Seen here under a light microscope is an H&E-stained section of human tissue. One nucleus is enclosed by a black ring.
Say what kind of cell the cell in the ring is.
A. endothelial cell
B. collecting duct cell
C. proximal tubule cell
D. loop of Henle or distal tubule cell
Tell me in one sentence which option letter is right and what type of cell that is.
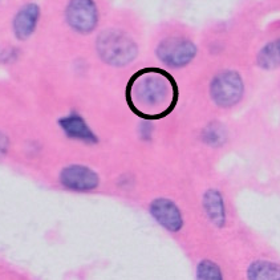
It is correct to say that the cell in the ring is a loop of Henle or distal tubule cell, as option D does.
